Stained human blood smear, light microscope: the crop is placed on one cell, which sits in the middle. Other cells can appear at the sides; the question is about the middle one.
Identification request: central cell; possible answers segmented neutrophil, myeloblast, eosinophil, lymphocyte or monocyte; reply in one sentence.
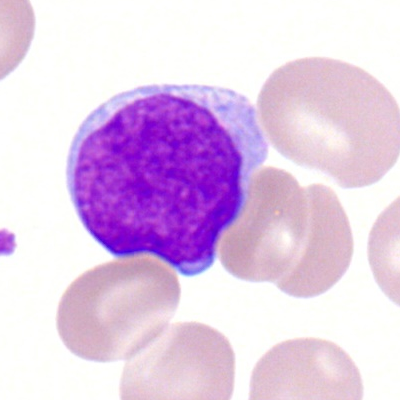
In the central position of this crop, the cell is a myeloblast.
